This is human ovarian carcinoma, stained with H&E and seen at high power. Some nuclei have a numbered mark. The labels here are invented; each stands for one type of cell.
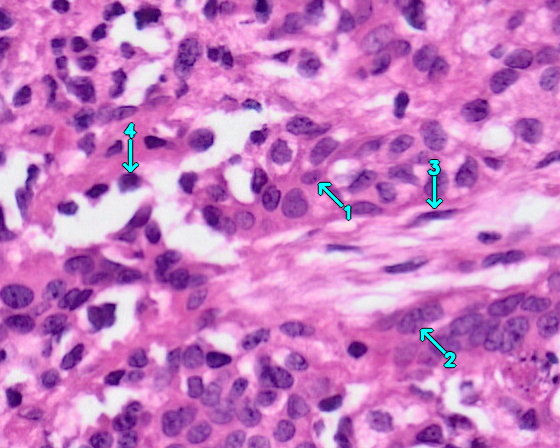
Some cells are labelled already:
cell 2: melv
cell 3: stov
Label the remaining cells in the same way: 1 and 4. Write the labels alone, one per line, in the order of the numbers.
melv
melv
